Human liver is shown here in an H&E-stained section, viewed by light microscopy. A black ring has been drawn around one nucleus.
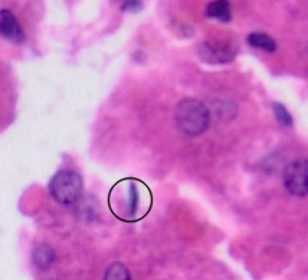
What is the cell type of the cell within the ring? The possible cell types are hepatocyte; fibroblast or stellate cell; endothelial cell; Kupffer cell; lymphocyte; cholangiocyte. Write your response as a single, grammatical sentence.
In cellular terms, the cell within the ring is an endothelial cell.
